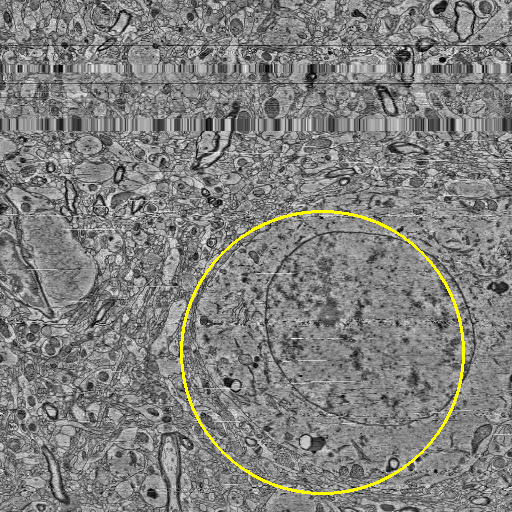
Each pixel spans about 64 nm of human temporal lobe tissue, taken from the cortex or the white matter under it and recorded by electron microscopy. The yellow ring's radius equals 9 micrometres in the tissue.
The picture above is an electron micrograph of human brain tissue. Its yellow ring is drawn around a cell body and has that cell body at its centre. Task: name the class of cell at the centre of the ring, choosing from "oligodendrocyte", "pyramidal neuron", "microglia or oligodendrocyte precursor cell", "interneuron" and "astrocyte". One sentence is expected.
The ring surrounds the body of a pyramidal neuron.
